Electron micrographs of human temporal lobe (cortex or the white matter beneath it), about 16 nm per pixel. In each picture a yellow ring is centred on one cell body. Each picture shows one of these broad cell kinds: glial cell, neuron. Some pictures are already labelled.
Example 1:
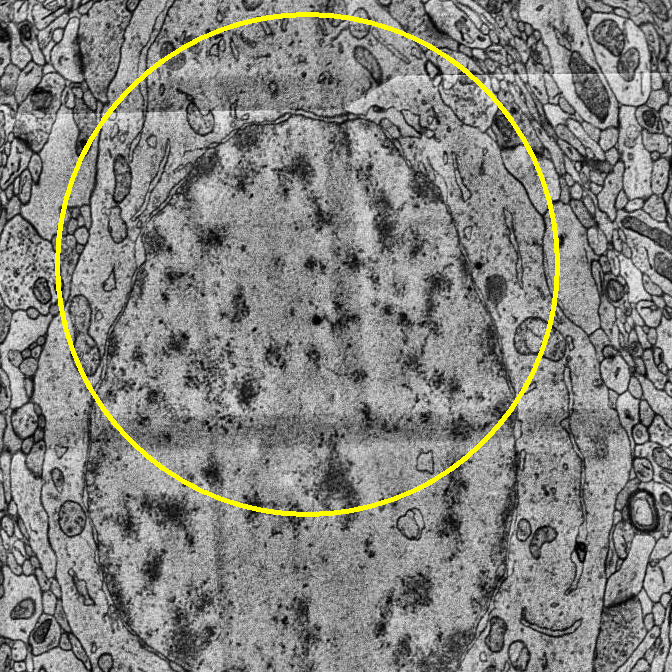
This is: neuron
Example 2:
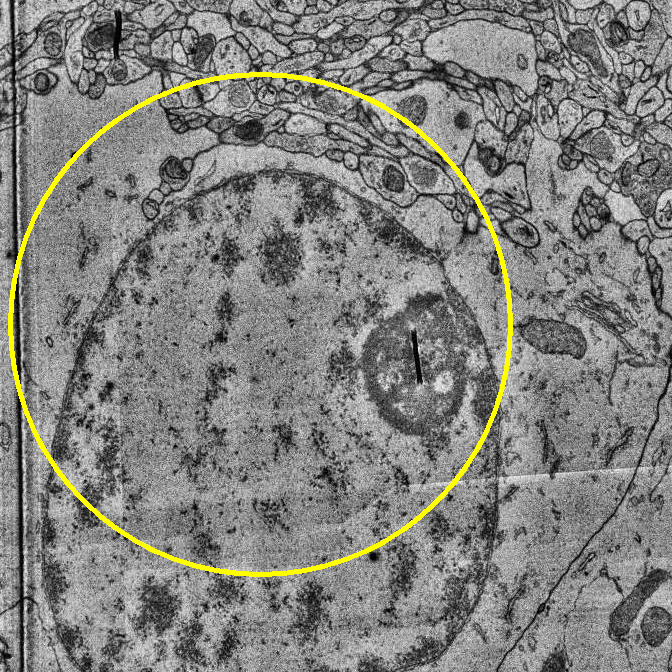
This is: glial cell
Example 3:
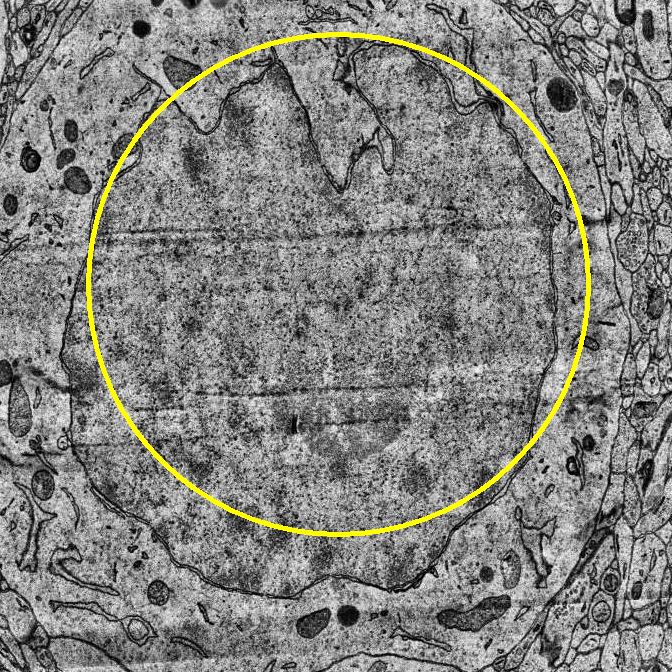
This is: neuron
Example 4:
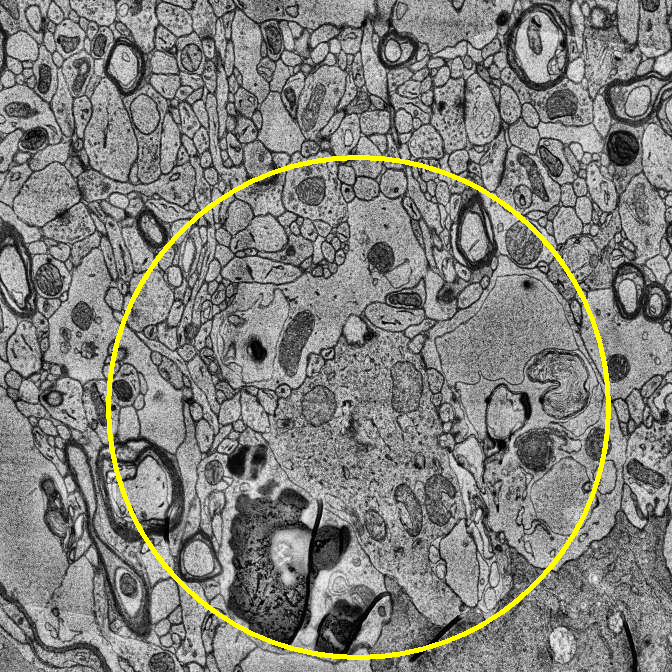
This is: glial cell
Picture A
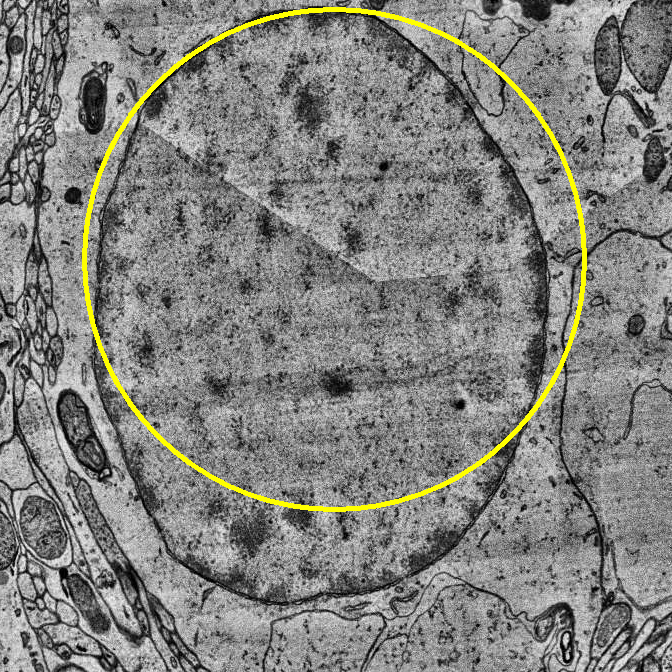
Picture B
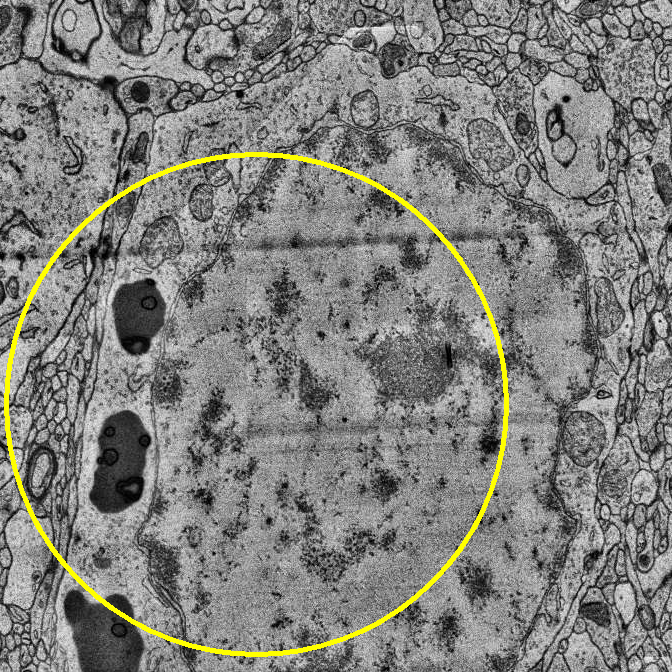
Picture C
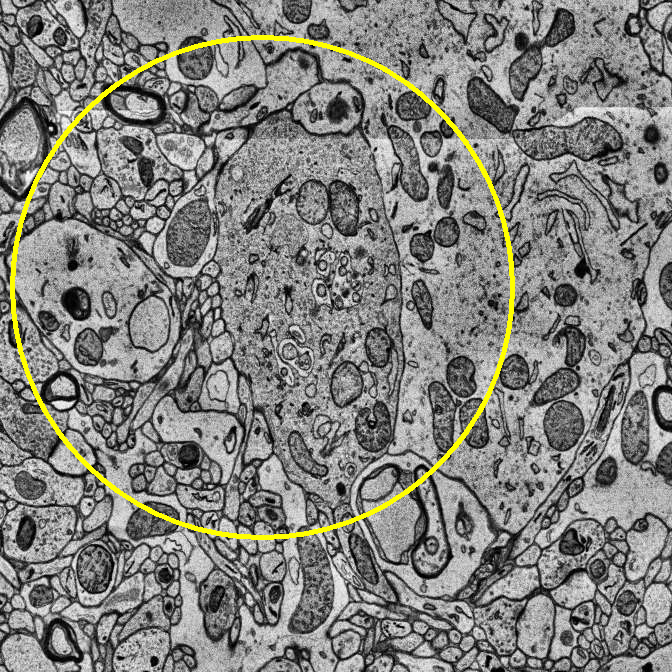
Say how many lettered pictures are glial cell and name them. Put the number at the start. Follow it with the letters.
Count: 2 (A, C)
